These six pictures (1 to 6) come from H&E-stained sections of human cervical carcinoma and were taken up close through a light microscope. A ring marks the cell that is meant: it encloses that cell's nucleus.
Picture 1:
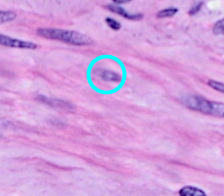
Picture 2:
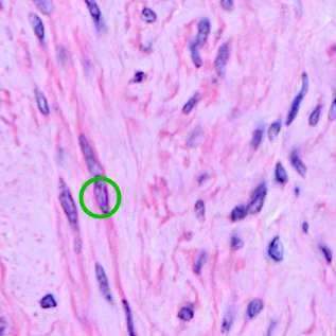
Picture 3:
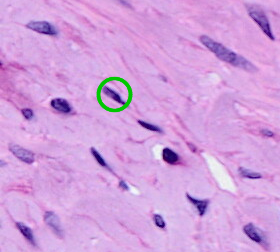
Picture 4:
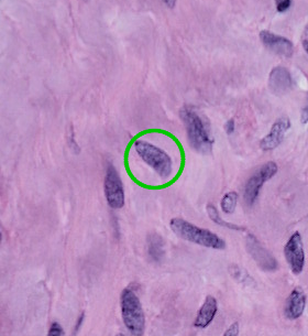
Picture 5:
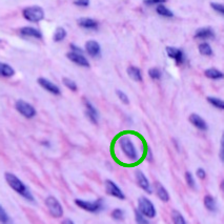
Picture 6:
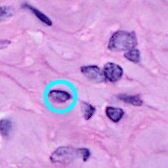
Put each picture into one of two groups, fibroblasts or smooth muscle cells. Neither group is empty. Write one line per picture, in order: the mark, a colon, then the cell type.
1: smooth muscle cell
2: smooth muscle cell
3: fibroblast
4: fibroblast
5: smooth muscle cell
6: fibroblast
